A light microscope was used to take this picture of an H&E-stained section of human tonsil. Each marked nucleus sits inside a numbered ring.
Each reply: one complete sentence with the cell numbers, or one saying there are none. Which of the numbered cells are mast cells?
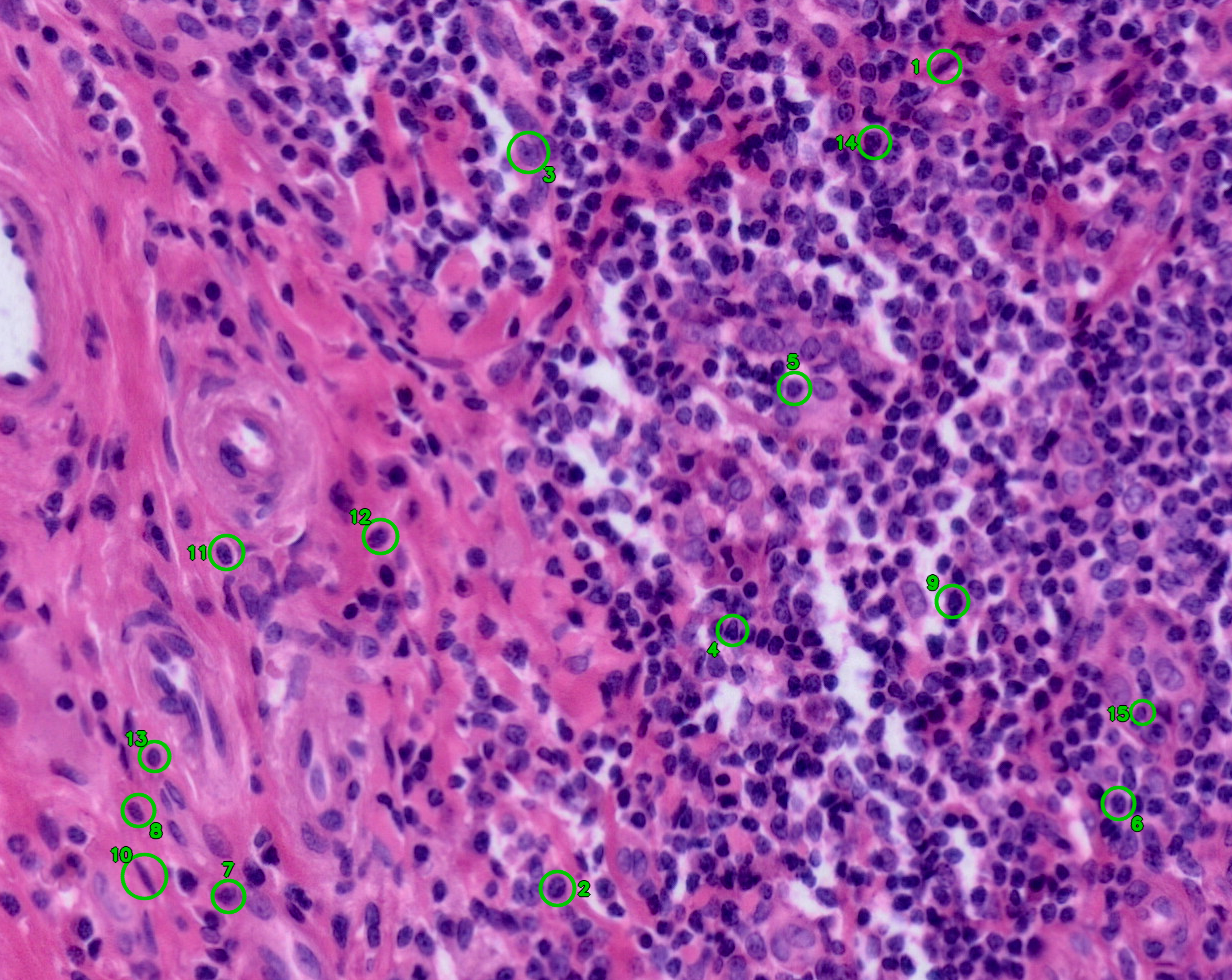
On this slide, the cells numbered 8, 11, 12 and 13 are mast cells.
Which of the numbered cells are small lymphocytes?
The cells to which the numbers 4 and 6 refer are small lymphocytes.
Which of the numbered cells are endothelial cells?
When it comes to cells 1, 3, 5, 7, 10 and 15, they are endothelial cells.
